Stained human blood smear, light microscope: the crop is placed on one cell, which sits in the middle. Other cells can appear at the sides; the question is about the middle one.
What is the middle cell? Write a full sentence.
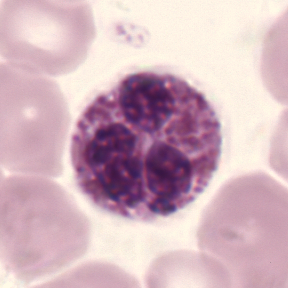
Answering briefly, the cell in the middle is an eosinophil.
